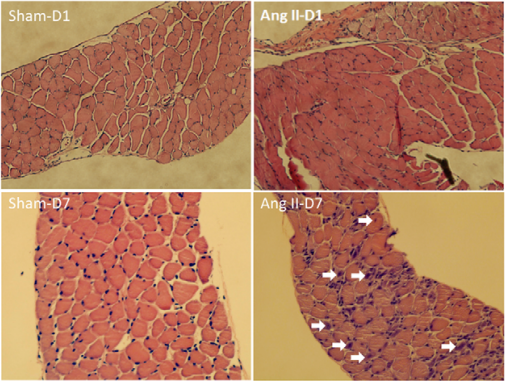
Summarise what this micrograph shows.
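In three of the sections, the fibres are fairly uniform in size and their nuclei lie at the periphery, beneath the fibre surface. In the fourth, the fibres are smaller and more irregular in size, with many more nuclei between them, and several fibres have nuclei in a central position, as expected of regenerating muscle.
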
